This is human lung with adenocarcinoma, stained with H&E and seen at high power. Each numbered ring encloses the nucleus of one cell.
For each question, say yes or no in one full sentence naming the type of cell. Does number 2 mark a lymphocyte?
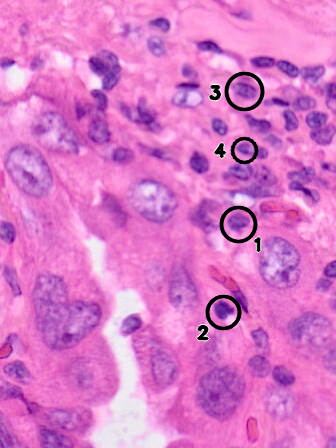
Yes, the one with the number 2 is a lymphocyte.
